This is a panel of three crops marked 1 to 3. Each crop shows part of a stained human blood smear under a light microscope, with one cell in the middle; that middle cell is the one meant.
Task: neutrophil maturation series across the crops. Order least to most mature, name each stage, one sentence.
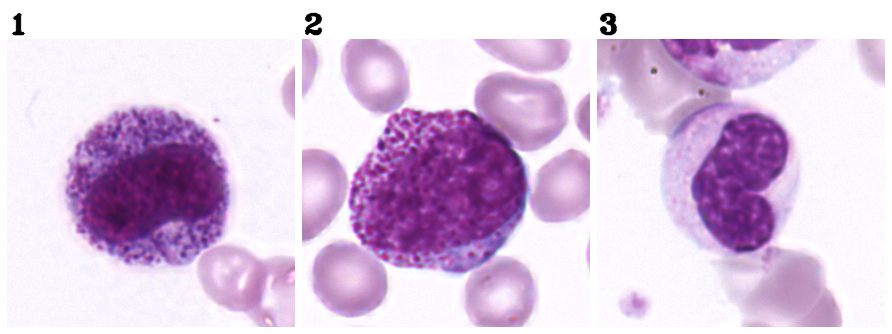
The ordering by maturity, from earliest to most mature, is crop 2 (a promyelocyte), crop 1 (a metamyelocyte) and crop 3 (a band neutrophil).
